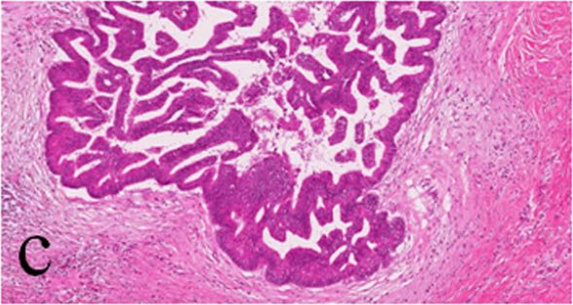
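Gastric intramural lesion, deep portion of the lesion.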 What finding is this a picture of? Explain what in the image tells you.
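A dilated duct is lined by epithelium thrown into many branching folds and tubules. The duct sits within pale fibrous stroma. So: tubulo-villous epithelial proliferation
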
